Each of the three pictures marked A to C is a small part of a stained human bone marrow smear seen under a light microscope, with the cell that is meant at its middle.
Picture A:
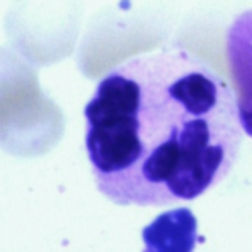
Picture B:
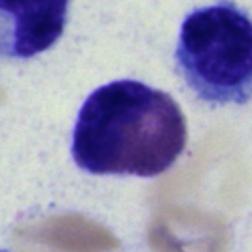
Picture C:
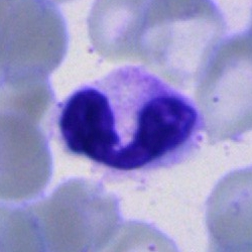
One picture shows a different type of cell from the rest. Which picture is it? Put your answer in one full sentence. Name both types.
All pictures except B show segmented neutrophils; picture B shows a basophil.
